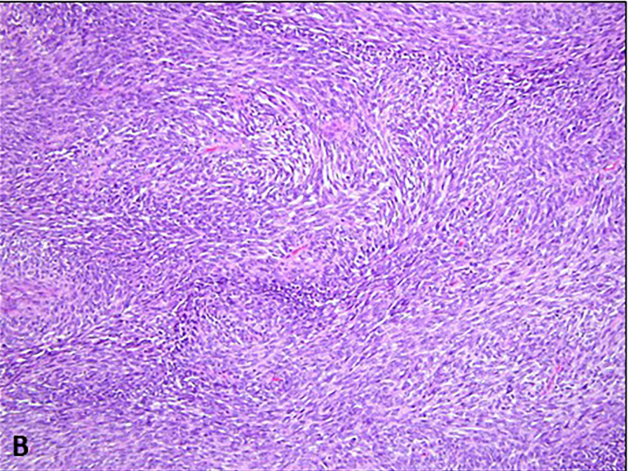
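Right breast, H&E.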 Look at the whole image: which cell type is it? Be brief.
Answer: Spindle-shaped cells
